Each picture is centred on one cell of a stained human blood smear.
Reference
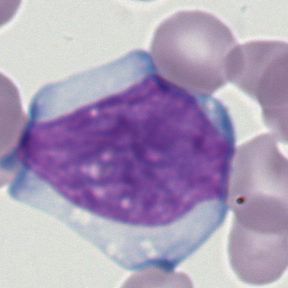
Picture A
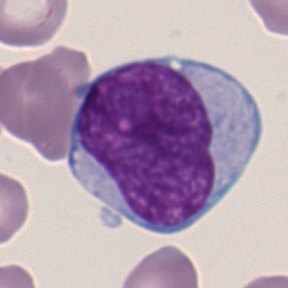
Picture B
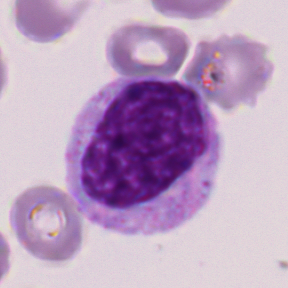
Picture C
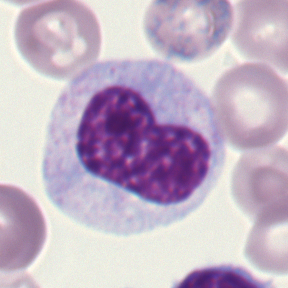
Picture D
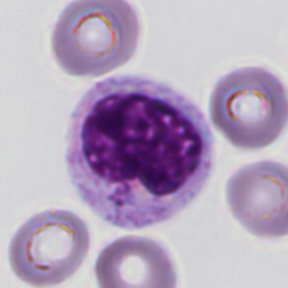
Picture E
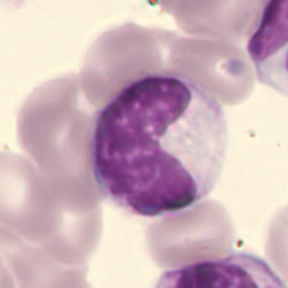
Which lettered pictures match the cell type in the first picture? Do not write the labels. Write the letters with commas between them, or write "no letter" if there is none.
A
